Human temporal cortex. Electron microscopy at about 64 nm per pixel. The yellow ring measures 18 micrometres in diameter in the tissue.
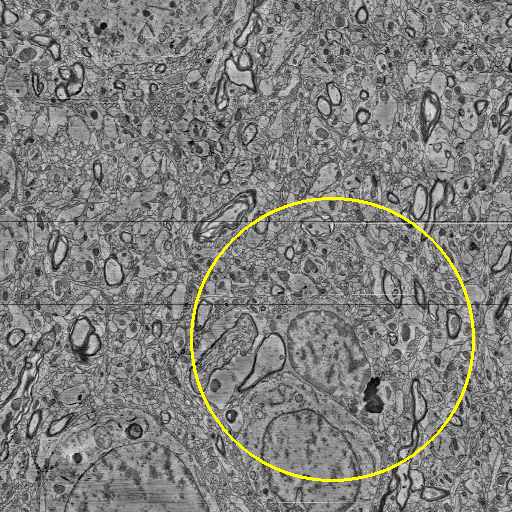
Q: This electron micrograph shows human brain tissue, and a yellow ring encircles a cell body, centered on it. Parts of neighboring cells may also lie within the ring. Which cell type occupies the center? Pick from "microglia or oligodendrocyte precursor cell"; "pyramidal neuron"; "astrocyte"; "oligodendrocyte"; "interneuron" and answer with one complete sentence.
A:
What sits at the ring's center in this micrograph is an oligodendrocyte, among those choices.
